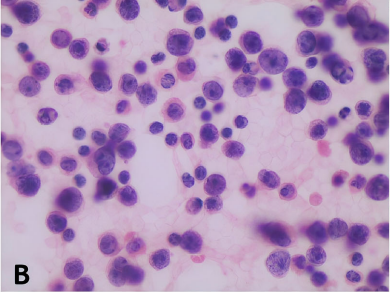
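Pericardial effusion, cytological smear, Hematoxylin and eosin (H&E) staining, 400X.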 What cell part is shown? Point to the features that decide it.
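Several large nuclei contain distinct dark dots within the chromatin. The nuclei are round to oval with open, uneven chromatin.
Answer: visible nucleoli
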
